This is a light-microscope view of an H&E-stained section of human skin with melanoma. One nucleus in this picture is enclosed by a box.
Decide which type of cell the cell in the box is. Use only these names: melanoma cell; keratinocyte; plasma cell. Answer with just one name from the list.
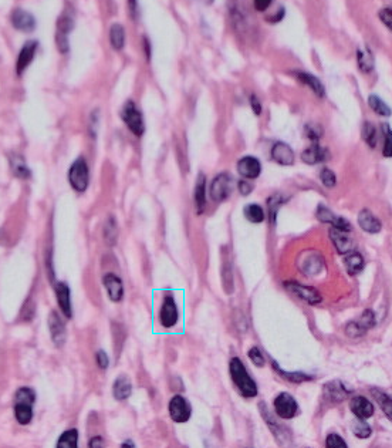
plasma cell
